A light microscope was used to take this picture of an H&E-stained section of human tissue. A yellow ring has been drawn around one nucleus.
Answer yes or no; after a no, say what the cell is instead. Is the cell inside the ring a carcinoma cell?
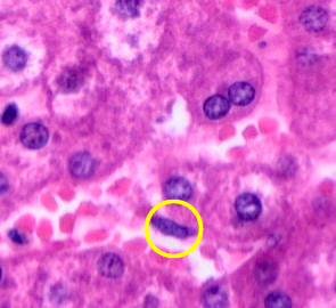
No, it is a Kupffer cell.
